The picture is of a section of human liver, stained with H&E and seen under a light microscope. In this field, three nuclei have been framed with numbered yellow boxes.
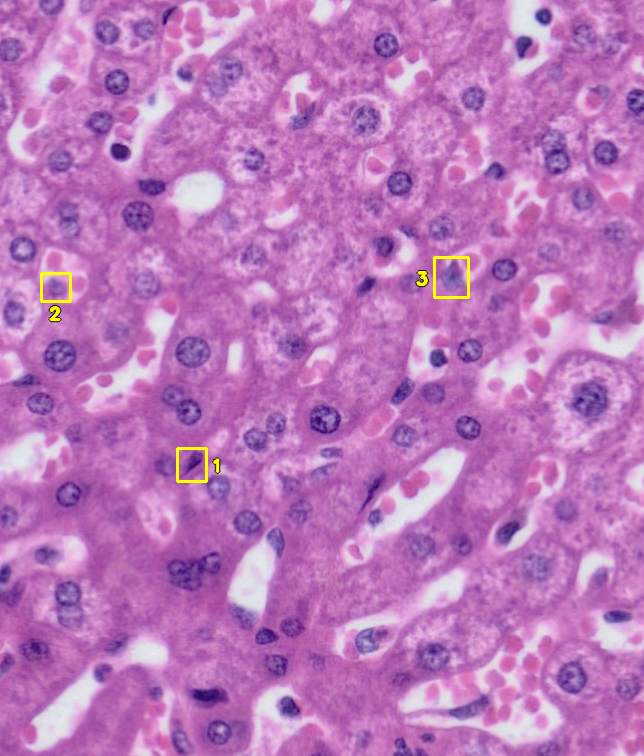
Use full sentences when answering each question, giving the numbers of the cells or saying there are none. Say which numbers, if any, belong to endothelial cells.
Cell 3 is an endothelial cell, while every other numbered cell is not.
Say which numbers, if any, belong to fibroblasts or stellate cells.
Of those with numbers, only cell 1 is a fibroblast or stellate cell.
